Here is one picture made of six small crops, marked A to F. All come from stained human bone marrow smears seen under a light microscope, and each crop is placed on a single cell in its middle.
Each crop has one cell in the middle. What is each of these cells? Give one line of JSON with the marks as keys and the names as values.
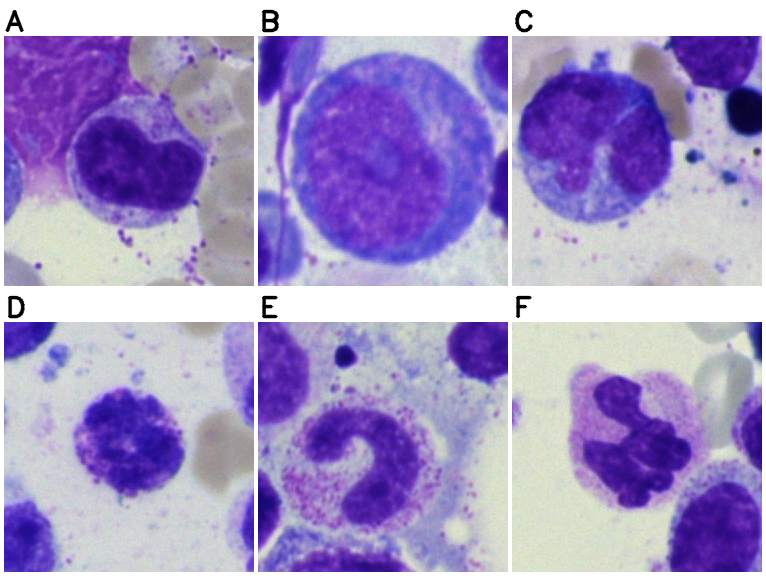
{"A": "metamyelocyte", "B": "promyelocyte", "C": "monocyte", "D": "basophil", "E": "band neutrophil", "F": "segmented neutrophil"}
